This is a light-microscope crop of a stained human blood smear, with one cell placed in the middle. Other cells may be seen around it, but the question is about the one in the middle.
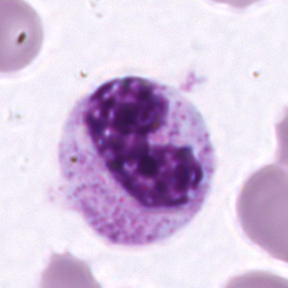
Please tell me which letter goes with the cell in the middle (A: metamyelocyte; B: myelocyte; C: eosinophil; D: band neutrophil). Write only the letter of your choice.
D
